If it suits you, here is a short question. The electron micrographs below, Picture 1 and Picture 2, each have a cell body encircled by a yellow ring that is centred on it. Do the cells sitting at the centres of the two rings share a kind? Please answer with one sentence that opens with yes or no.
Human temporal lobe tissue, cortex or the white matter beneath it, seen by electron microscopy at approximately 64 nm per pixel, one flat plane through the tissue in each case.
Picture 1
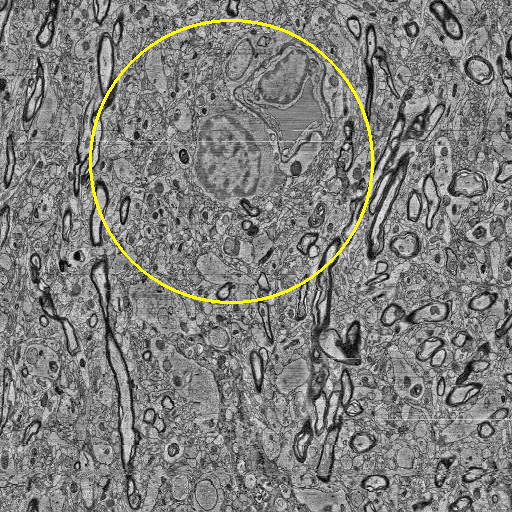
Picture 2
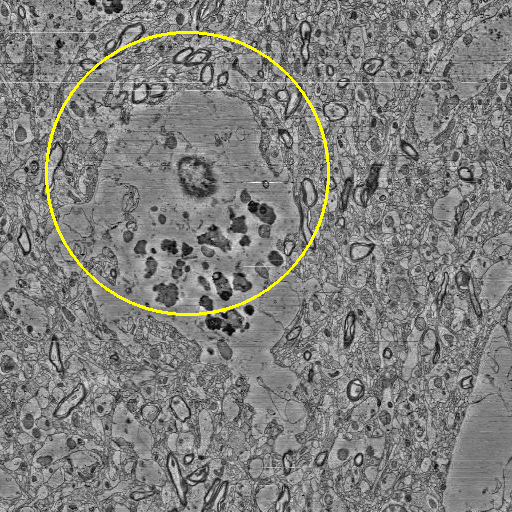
No, the two cells sitting at the ring centres fall into two kinds.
